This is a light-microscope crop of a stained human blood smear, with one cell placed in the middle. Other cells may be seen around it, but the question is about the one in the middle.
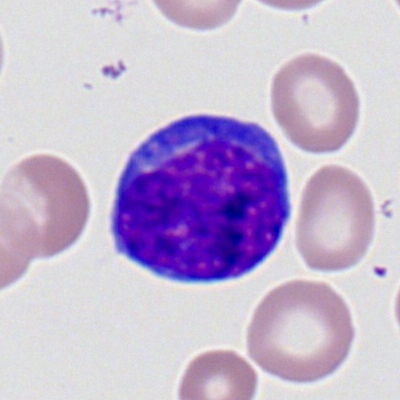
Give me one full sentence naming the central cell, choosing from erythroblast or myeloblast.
Present in the middle of the crop is a myeloblast.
